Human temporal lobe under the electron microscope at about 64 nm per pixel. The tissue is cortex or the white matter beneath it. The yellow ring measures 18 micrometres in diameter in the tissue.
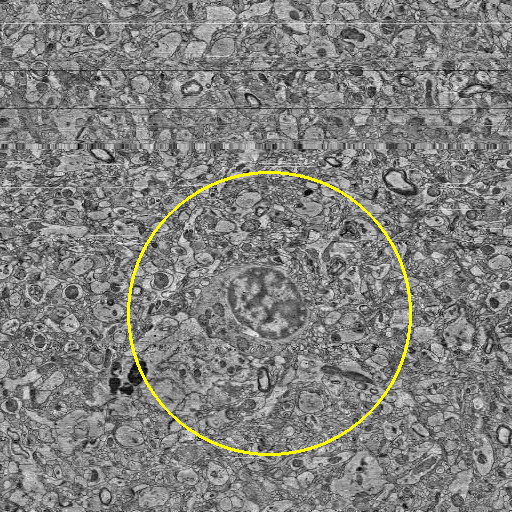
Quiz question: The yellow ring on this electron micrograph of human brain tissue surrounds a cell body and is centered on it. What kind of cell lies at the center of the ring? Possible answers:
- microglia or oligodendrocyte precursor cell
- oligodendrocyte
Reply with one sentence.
The ring's center lies on an oligodendrocyte.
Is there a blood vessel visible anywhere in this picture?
No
